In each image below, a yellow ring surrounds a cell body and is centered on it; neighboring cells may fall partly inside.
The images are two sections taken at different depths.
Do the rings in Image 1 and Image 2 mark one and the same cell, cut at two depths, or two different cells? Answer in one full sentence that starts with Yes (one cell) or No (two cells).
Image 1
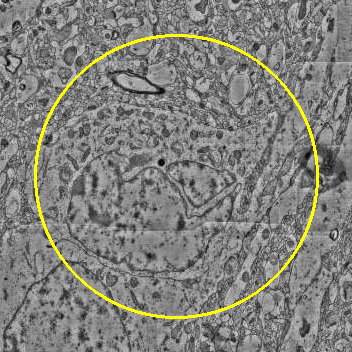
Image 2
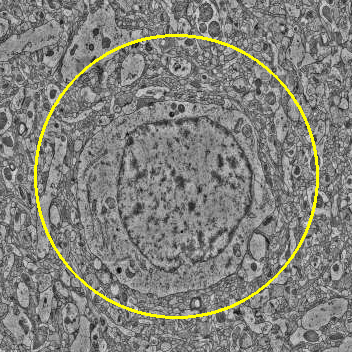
No, marked by the two rings are two different cells.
